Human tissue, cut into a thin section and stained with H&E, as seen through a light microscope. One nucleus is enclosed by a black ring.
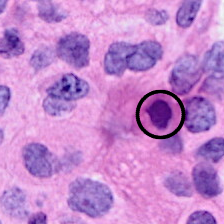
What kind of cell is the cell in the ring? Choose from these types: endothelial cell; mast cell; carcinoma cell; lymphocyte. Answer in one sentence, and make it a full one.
As a matter of cell type, the cell in the ring is a carcinoma cell.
